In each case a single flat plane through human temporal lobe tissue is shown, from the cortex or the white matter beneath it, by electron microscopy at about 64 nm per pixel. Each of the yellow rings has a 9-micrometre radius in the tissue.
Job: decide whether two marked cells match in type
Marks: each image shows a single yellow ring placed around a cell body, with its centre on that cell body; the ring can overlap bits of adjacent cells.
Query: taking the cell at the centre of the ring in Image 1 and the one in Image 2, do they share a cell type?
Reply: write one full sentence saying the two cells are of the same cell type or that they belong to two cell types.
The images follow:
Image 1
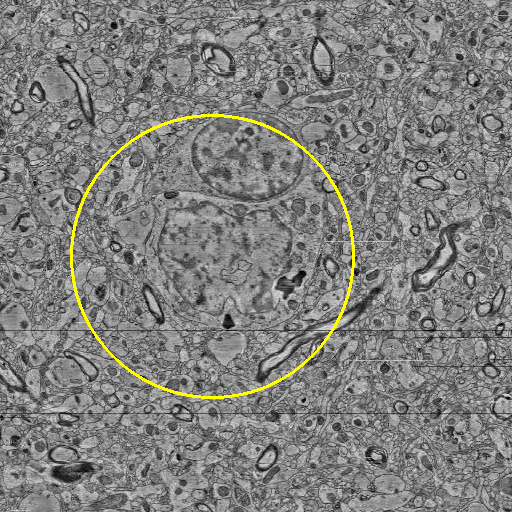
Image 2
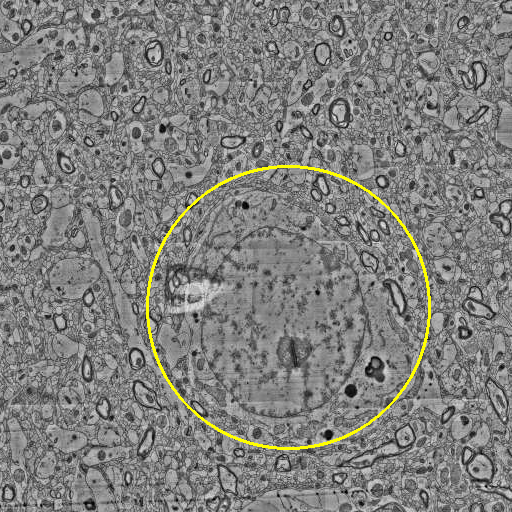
The cells at the ring centres in Image 1 and Image 2 belong to two cell types.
